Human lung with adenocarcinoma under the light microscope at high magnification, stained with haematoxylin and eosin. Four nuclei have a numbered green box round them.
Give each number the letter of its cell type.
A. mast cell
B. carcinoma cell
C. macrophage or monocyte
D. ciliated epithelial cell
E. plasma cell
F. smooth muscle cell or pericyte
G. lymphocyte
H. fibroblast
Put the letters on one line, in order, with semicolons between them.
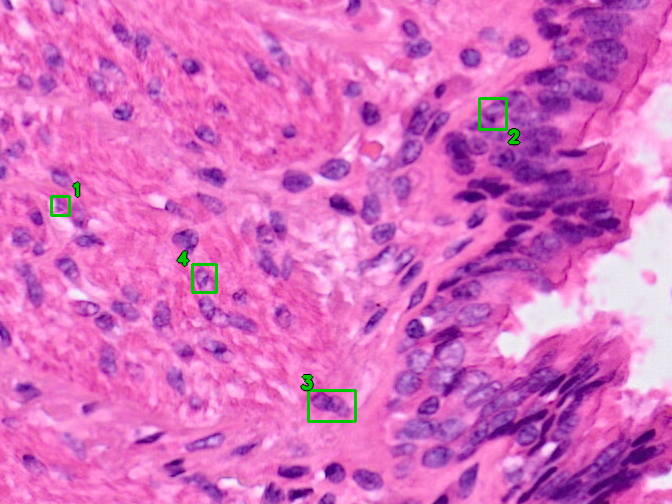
F; D; F; F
